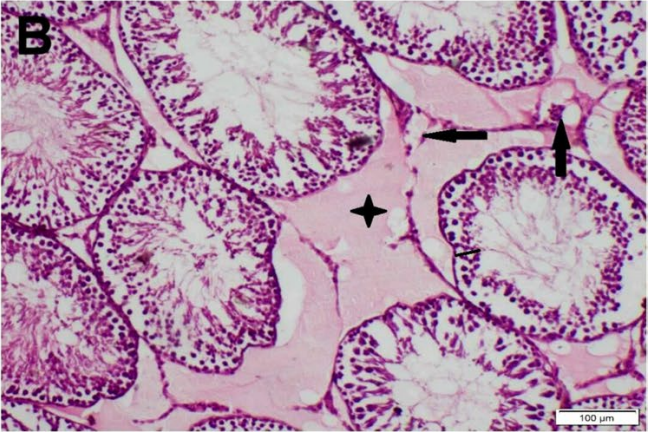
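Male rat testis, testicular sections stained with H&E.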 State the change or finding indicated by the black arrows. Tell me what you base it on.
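The arrows point at sparse cells in the interstitium between tubules. The interstitial cells there are few and separated by pale vacuolated spaces. That points to this answer: Leydig cells degeneration.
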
